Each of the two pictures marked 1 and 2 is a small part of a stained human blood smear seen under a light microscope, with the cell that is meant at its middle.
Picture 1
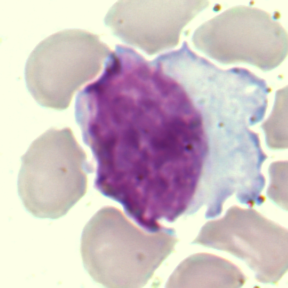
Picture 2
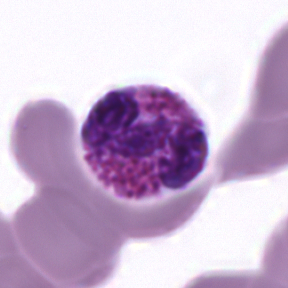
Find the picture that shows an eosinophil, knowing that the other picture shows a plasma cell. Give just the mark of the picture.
2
